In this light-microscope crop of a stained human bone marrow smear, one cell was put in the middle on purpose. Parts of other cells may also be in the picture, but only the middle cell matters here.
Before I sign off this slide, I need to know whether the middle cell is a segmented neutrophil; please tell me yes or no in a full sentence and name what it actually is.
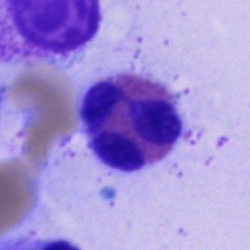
No, what is seen at the centre is an eosinophil instead of a segmented neutrophil.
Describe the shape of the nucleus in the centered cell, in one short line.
Multiple nuclear lobes, two or more, can be counted in this cell.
